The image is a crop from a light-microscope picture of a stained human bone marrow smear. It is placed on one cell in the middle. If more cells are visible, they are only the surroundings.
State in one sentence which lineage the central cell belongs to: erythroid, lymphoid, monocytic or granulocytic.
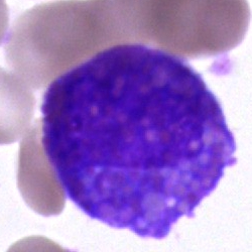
The centered cell should be recorded as belonging to the granulocytic lineage.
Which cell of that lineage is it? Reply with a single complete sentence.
The middle cell in this particular crop is an eosinophil.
